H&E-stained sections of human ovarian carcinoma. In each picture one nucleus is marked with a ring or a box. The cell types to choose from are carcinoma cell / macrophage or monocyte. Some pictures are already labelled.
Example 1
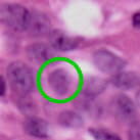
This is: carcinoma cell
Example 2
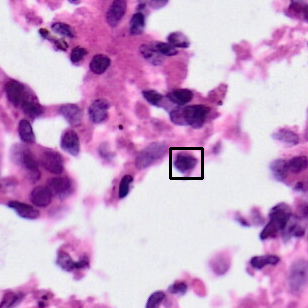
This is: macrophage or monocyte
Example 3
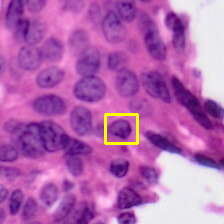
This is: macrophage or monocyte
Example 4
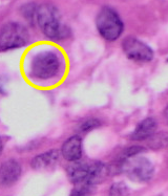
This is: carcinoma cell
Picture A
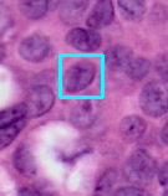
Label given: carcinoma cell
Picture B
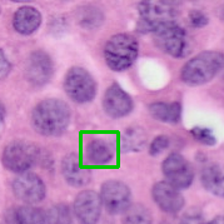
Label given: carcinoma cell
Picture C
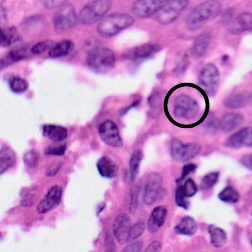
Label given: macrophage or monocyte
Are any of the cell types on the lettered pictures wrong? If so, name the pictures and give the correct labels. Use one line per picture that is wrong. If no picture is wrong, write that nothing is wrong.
All labels are correct.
